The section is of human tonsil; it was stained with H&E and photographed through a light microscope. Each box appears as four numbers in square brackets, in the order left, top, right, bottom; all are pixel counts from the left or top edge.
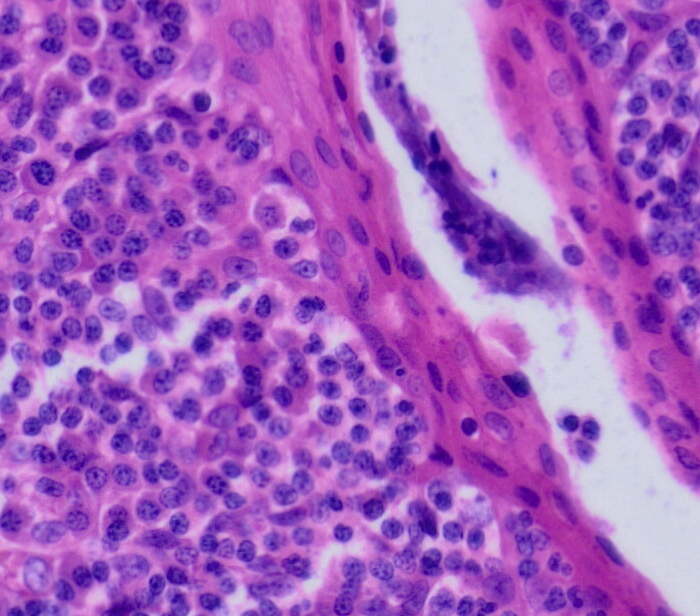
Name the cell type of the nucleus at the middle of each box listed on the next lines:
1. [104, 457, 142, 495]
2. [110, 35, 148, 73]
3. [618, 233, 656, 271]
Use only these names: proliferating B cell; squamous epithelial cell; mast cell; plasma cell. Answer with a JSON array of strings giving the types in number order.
["plasma cell", "plasma cell", "squamous epithelial cell"]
